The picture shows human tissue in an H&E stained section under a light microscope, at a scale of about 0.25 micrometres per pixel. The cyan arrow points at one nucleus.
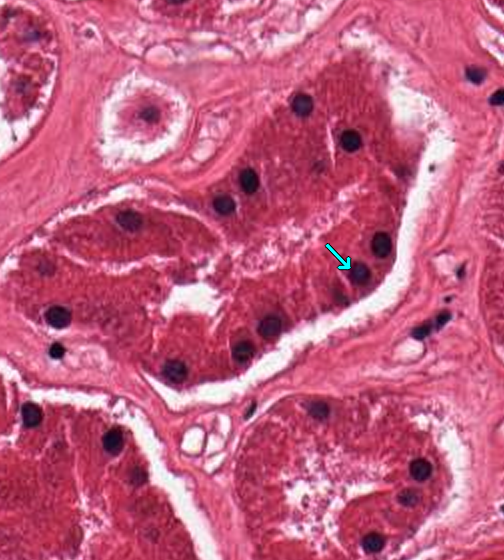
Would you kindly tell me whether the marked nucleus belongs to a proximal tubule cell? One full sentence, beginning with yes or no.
Yes, the marked nucleus is that of a proximal tubule cell.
